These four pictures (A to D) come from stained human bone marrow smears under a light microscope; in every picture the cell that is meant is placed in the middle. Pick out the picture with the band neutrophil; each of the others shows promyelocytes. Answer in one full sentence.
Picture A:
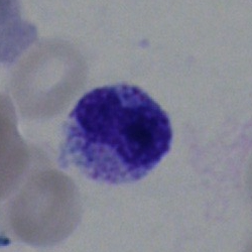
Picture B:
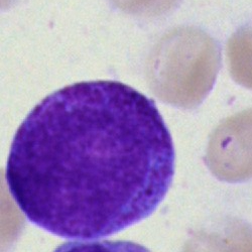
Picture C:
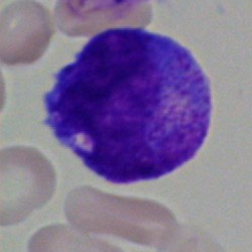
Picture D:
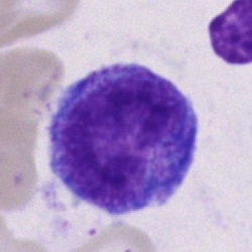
The band neutrophil is the one in picture A.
